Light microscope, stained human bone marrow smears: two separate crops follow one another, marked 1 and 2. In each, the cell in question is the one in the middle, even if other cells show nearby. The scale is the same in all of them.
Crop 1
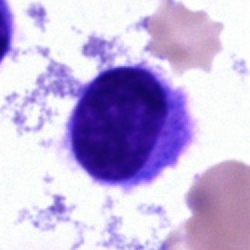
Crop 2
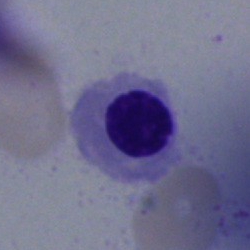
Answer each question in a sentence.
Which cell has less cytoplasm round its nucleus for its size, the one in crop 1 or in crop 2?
The nucleus fills more of the cell in crop 1 than in crop 2.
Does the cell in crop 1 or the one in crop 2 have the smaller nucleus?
Smaller is the nucleus in crop 2, and the other is about 2.5 times as large in area.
